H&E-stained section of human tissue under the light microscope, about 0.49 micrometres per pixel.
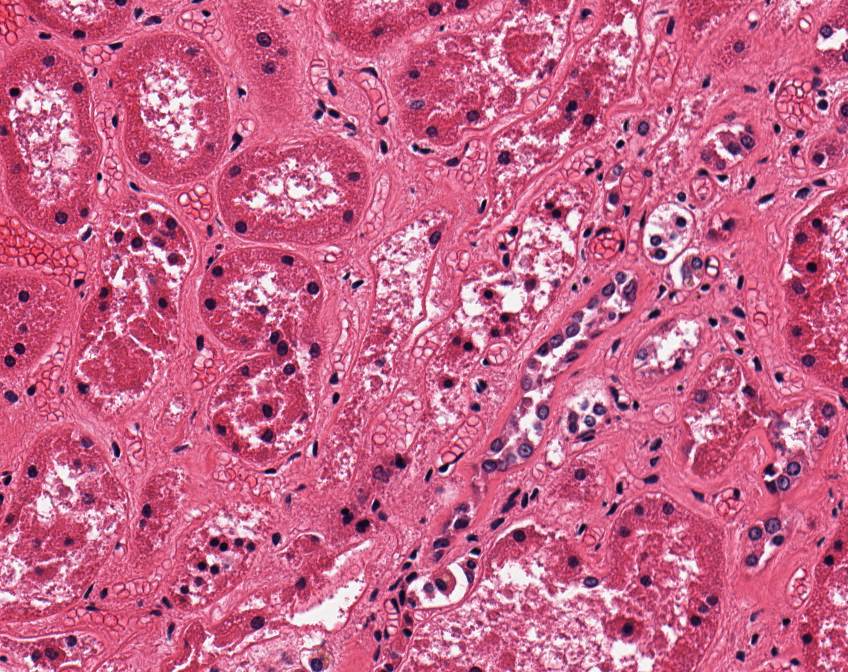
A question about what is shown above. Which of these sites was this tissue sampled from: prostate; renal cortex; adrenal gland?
renal cortex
